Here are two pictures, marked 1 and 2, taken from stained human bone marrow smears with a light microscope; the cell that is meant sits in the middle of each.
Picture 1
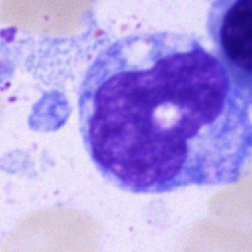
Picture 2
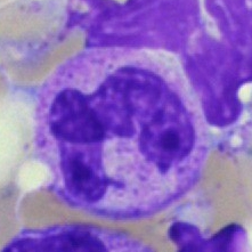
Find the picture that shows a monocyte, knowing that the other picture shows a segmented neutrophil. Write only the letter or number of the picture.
1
